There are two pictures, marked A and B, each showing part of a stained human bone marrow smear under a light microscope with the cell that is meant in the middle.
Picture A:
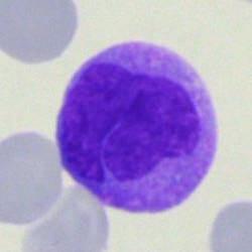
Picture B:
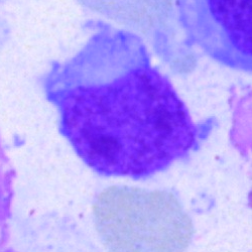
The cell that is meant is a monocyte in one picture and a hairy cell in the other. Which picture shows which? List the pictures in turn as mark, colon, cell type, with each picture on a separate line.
A: monocyte
B: hairy cell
